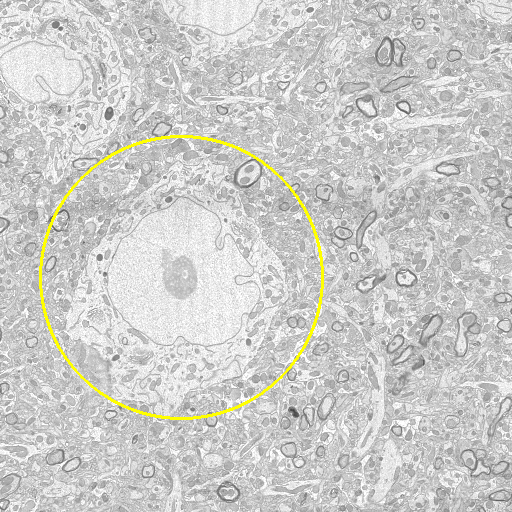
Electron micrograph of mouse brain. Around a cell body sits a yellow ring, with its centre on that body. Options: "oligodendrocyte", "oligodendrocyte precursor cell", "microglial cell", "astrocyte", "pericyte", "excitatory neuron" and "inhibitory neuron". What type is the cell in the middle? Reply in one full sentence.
The cell sitting at the centre of the yellow ring is an excitatory neuron.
